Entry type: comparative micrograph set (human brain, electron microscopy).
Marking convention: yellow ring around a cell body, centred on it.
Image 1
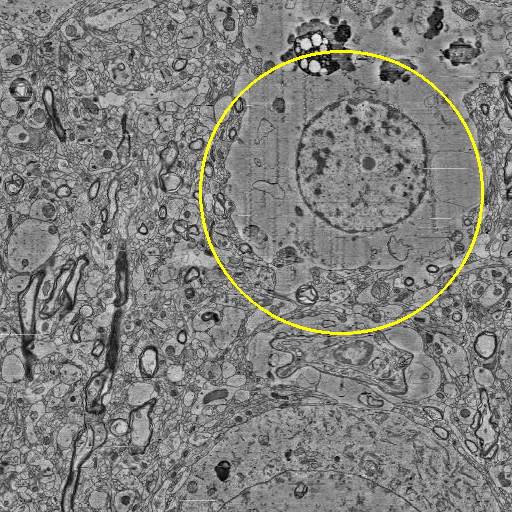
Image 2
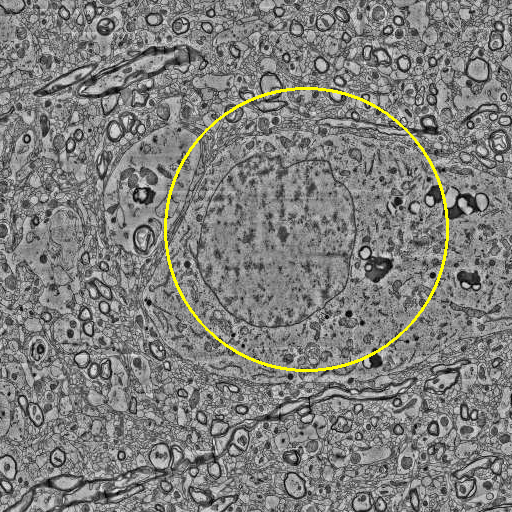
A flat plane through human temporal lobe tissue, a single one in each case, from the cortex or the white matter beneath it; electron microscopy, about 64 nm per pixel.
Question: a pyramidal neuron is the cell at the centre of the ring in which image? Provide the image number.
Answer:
2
